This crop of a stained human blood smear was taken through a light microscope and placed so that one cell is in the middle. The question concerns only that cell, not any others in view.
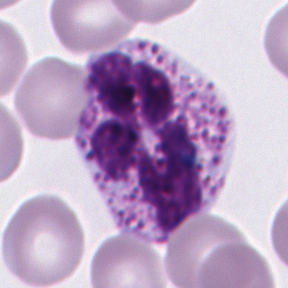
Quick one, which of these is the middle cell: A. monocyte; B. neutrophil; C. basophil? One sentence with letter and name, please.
The cell at the centre is a basophil, and option C accordingly is correct.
